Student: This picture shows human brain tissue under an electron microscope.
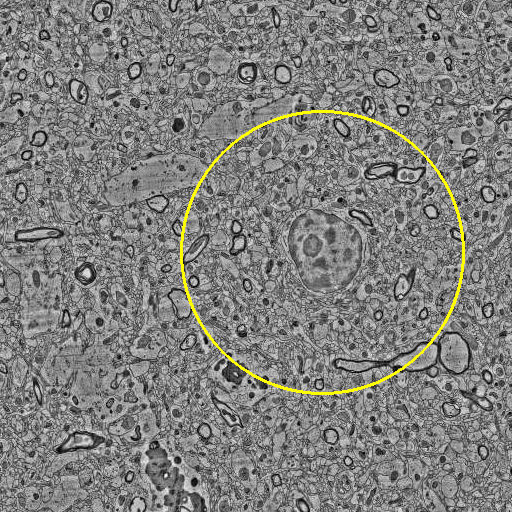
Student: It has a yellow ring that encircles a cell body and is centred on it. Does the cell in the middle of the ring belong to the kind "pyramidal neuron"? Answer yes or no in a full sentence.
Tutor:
No, the cell in the middle of the ring in this picture is of another kind.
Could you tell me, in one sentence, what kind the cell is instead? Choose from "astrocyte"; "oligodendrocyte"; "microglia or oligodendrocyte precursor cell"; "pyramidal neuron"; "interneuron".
The ring's central cell is a microglial cell or oligodendrocyte precursor cell instead.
